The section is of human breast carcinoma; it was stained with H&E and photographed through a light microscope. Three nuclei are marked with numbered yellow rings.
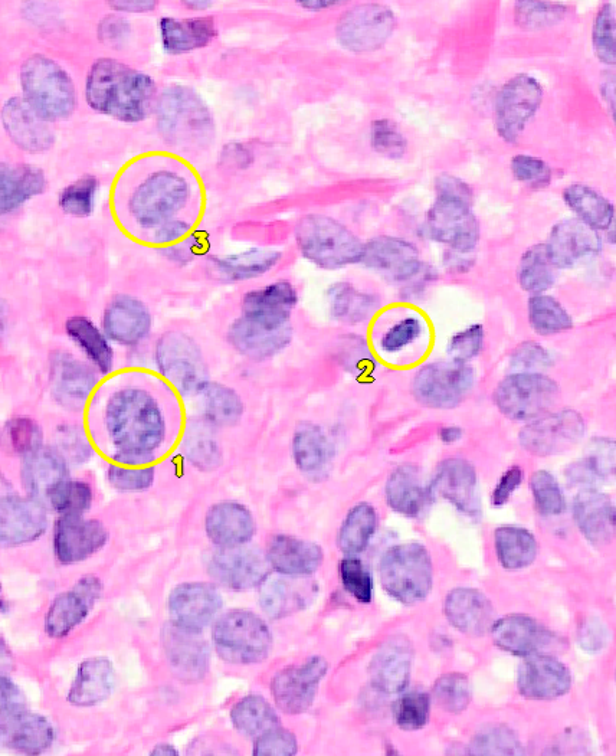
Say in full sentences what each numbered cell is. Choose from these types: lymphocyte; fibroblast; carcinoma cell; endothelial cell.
Cells 1 and 3 are carcinoma cells. Cell 2 is a lymphocyte.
